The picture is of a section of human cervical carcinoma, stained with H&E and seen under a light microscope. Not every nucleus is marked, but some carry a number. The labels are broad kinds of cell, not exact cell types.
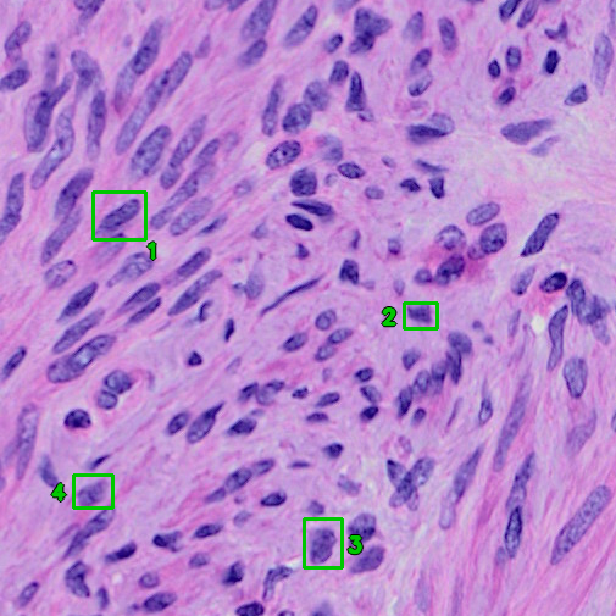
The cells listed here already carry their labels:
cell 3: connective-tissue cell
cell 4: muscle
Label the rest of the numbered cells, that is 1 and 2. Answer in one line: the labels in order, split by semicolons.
muscle; connective-tissue cell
